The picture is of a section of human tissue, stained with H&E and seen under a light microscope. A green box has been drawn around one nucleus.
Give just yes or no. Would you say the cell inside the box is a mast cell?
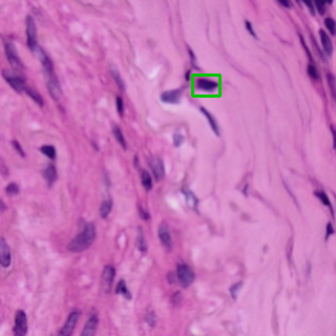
yes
